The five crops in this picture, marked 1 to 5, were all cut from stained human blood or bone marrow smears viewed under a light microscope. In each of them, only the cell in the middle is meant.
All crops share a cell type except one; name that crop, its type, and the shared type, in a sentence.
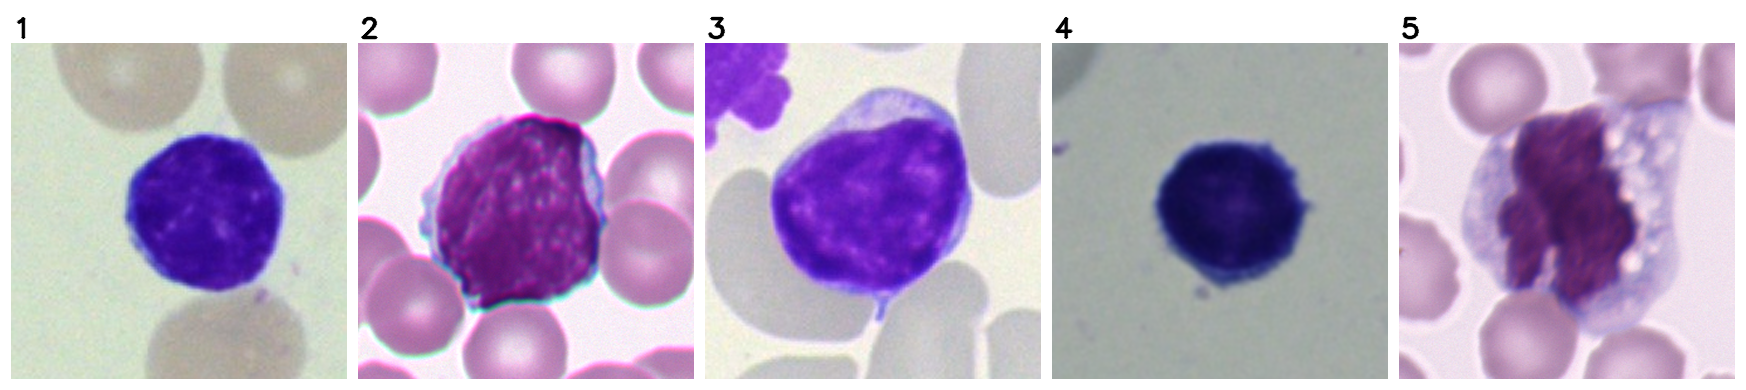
Crop 5 stands apart from the rest as a monocyte, the others all being lymphocytes.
